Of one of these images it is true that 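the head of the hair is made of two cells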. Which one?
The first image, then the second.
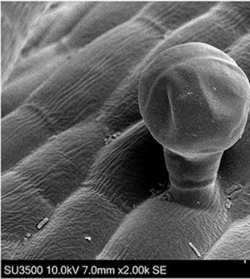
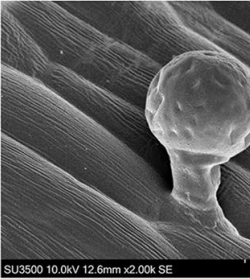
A: The first image.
